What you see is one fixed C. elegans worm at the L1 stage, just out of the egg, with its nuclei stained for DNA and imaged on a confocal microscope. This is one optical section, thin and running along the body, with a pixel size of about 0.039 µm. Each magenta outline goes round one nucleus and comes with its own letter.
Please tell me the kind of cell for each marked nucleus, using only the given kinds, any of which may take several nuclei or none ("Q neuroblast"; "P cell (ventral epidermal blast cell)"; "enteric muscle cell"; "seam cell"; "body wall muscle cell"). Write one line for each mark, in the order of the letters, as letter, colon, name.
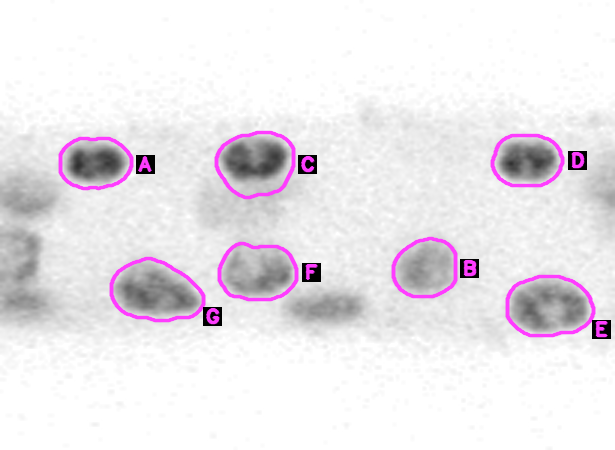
A: body wall muscle cell
B: Q neuroblast
C: body wall muscle cell
D: body wall muscle cell
E: P cell (ventral epidermal blast cell)
F: seam cell
G: P cell (ventral epidermal blast cell)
